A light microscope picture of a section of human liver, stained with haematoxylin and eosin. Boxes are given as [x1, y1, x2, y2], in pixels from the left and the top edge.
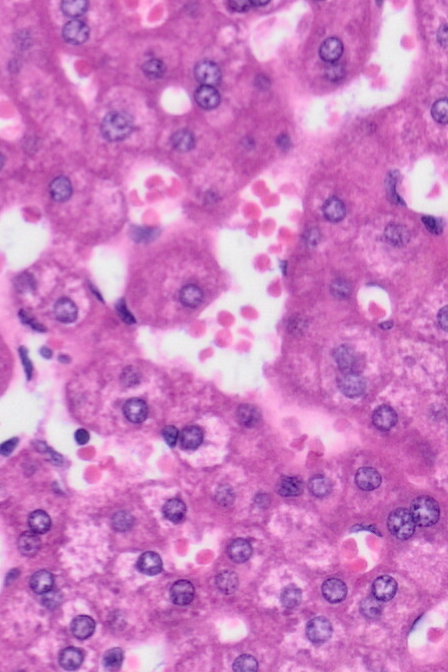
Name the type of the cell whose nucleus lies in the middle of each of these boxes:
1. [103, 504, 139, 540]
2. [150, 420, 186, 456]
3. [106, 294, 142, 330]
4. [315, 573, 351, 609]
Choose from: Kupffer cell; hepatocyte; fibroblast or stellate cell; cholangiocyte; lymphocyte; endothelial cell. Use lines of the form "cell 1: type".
cell 1: hepatocyte
cell 2: fibroblast or stellate cell
cell 3: fibroblast or stellate cell
cell 4: hepatocyte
